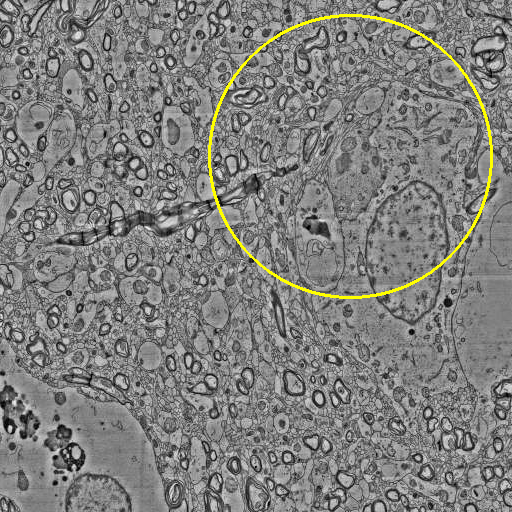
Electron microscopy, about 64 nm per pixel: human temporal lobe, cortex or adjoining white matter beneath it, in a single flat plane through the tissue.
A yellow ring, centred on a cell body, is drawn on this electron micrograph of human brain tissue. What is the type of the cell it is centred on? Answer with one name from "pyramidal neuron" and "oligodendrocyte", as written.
oligodendrocyte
